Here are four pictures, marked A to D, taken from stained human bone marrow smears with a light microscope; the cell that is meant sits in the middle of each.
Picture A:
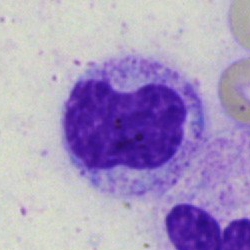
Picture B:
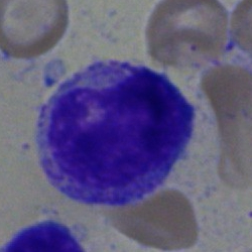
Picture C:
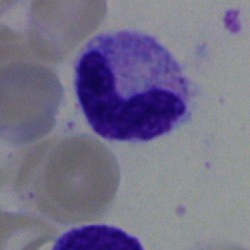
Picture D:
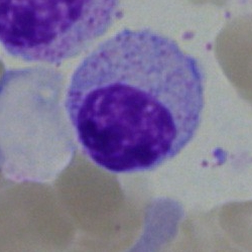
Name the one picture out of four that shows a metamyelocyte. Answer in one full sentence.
It is picture A that shows the metamyelocyte.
